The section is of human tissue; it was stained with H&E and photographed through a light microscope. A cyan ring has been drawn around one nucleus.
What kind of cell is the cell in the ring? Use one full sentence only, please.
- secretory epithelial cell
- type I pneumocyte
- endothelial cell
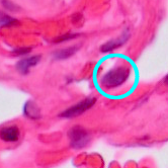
In the stained section, the cell in the ring is a type I pneumocyte.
